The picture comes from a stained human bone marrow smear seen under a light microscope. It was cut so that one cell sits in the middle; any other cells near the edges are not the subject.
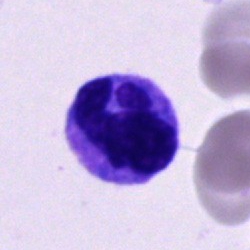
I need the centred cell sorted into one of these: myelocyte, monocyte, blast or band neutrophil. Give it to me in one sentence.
The middle position in this crop is taken by a monocyte.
